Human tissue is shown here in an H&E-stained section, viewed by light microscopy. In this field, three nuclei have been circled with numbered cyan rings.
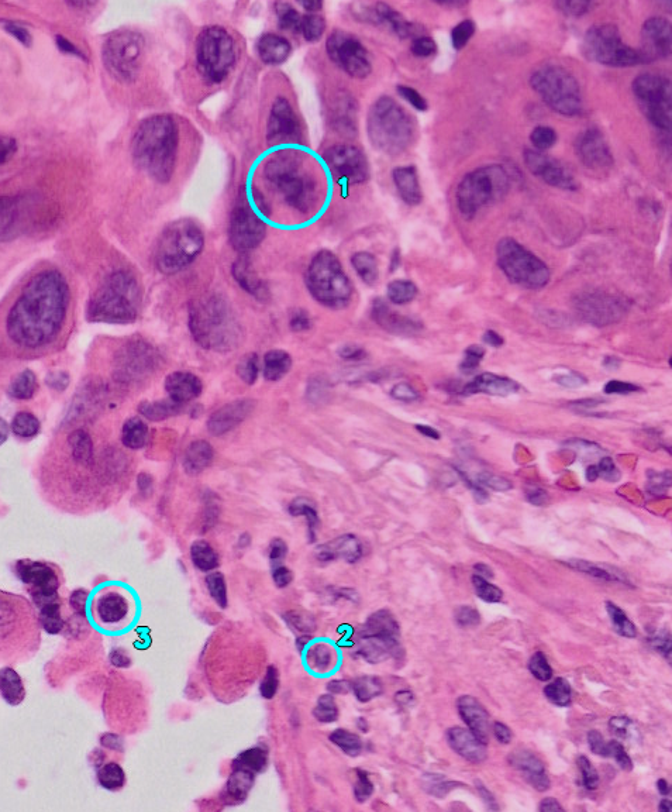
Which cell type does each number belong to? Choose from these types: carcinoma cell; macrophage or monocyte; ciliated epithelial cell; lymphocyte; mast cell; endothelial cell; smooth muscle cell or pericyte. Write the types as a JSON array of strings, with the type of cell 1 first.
["carcinoma cell", "lymphocyte", "lymphocyte"]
